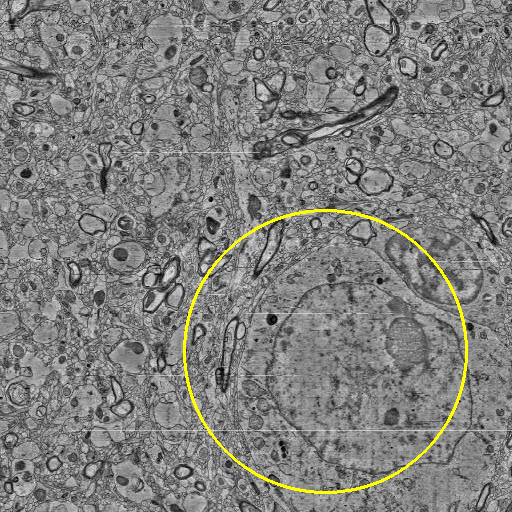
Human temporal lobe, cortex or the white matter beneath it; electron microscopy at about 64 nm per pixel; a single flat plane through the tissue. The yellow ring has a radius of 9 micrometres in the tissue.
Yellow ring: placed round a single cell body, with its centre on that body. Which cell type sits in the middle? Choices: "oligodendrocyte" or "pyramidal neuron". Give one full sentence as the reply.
It is a pyramidal neuron whose cell body sits at the centre of the yellow ring.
